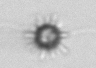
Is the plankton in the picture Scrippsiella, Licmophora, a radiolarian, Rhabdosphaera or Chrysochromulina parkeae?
It is Rhabdosphaera.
